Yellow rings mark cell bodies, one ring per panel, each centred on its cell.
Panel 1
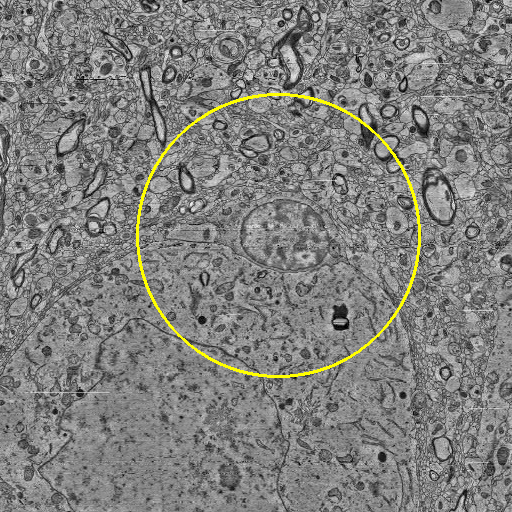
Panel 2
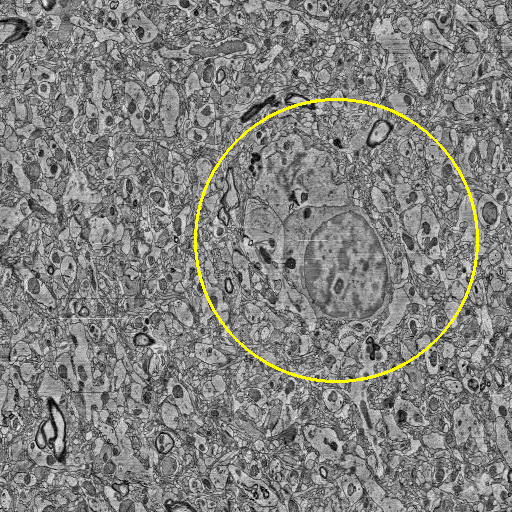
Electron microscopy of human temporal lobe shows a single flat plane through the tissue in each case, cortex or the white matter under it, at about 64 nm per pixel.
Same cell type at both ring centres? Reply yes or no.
yes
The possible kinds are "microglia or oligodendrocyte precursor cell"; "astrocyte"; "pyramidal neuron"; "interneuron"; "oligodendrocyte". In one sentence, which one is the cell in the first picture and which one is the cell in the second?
Each of the two rings is centred on an oligodendrocyte.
